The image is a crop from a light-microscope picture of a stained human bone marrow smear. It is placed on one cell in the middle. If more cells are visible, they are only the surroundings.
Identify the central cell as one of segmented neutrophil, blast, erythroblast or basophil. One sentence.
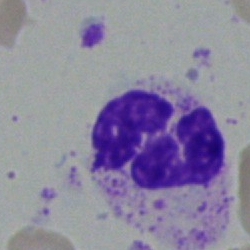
In the centre of this crop there is a basophil.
